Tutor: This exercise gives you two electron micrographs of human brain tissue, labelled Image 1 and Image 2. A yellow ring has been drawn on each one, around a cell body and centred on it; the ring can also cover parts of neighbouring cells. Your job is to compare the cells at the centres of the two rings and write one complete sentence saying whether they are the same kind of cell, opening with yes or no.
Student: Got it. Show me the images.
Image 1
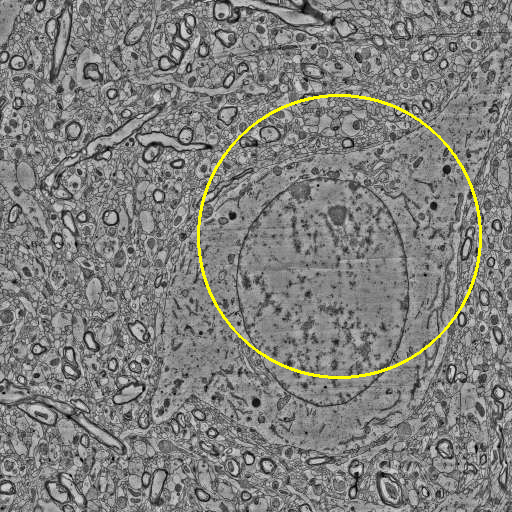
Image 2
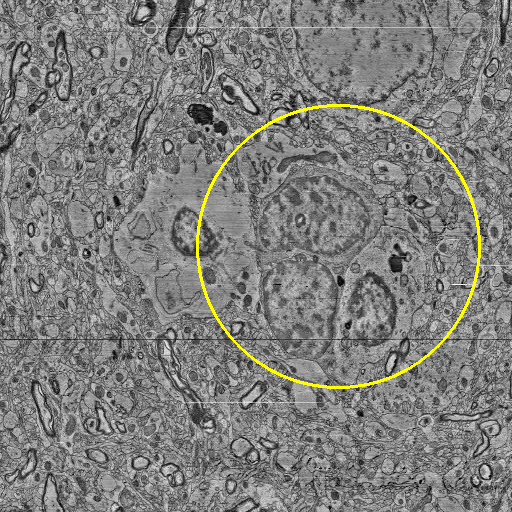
No, the two cells belong to two kinds.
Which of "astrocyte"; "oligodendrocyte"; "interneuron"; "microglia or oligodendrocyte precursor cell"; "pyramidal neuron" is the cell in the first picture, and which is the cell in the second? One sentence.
The two differ: the first cell is a pyramidal neuron and the second is a microglial cell or oligodendrocyte precursor cell.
